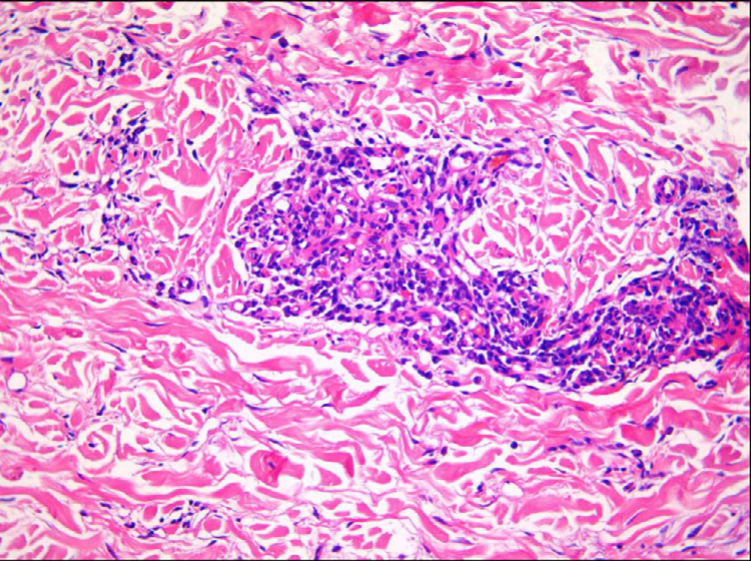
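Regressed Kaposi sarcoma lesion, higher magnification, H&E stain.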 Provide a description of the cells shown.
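Dermis with thick, wavy pink collagen bundles separated by clear spaces, and in the middle a dense, elongated aggregate of small round cells clustered around small vessels. The cells have round, dark purple nuclei. Small vascular lumina are scattered within the cluster. Away from the aggregate the collagen holds only sparse spindle-shaped and single cells.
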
